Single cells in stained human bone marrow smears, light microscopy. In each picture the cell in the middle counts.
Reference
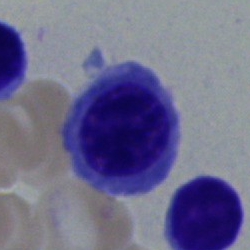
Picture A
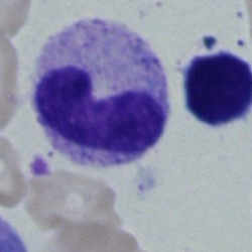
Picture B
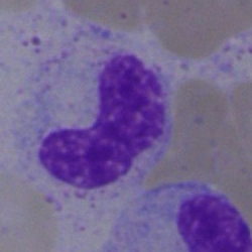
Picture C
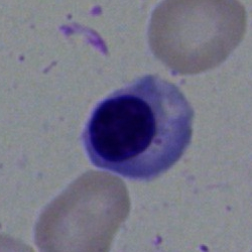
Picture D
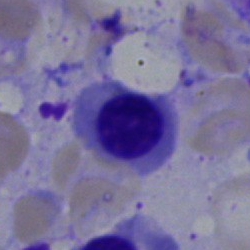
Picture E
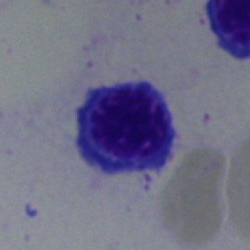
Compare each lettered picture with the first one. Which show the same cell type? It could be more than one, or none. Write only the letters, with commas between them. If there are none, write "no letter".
C, D, E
